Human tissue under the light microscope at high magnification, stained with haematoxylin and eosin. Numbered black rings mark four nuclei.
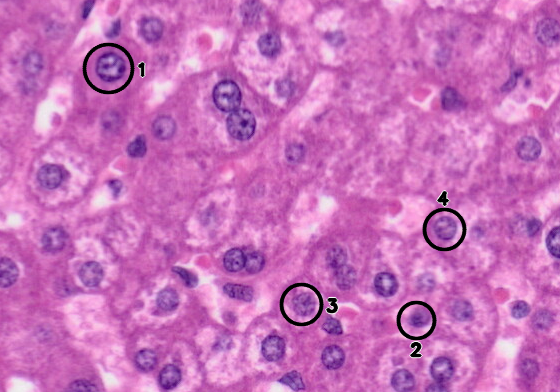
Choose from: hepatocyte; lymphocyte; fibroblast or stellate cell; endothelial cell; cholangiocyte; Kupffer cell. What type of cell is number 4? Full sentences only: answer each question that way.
The identity of cell 4 is that of a hepatocyte.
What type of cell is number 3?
The marked cell bearing number 3 is a hepatocyte.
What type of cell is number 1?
Of the numbered cells, the one labelled 1 is a hepatocyte.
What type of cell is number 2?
The cell that is numbered 2 is a Kupffer cell.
